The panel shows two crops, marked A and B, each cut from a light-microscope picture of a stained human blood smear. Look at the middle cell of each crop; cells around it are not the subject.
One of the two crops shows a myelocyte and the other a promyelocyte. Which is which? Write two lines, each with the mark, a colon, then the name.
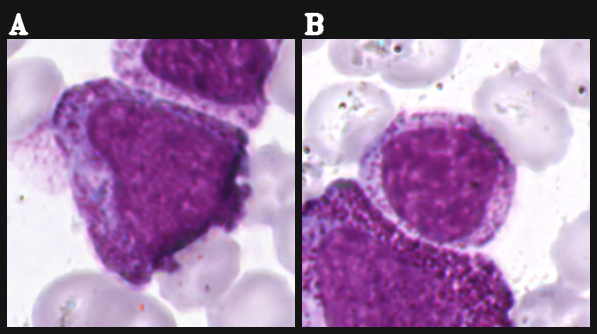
A: promyelocyte
B: myelocyte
